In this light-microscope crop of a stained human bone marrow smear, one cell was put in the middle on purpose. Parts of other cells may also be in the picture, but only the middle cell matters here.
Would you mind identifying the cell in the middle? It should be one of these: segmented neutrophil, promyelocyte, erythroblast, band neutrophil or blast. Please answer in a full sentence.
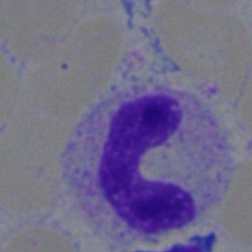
Standing at the centre of this crop is a band neutrophil.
